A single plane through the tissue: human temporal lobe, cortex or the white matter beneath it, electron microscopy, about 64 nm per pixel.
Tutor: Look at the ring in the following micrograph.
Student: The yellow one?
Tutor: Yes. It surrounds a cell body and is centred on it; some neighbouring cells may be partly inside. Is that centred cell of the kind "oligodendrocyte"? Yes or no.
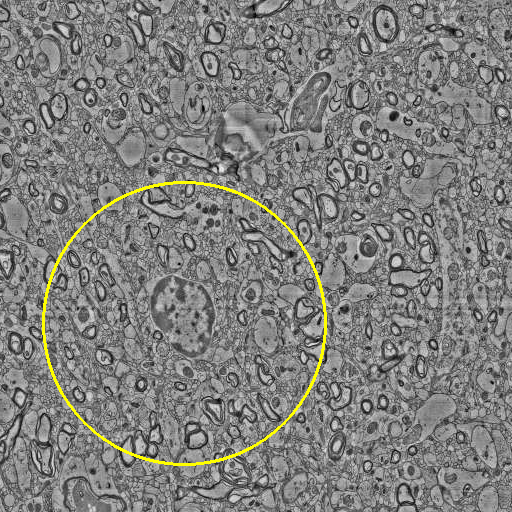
no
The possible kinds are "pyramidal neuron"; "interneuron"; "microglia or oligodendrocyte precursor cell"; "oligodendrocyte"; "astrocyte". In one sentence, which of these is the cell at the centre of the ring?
The cell at the middle of the ring is a microglial cell or oligodendrocyte precursor cell.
